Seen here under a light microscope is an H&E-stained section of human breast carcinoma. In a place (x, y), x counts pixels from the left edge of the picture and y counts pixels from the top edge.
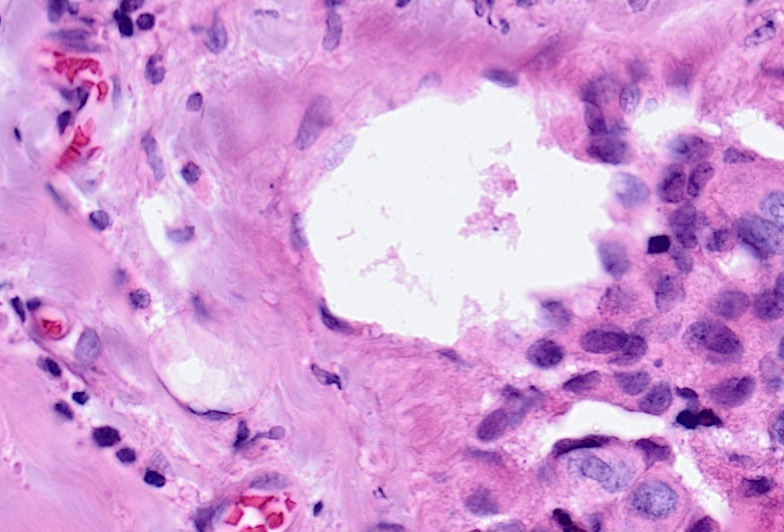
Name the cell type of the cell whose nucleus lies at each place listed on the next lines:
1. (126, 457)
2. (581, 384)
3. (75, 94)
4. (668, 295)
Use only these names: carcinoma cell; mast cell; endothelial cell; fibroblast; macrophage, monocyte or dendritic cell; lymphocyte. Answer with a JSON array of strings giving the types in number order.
["lymphocyte", "carcinoma cell", "endothelial cell", "carcinoma cell"]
